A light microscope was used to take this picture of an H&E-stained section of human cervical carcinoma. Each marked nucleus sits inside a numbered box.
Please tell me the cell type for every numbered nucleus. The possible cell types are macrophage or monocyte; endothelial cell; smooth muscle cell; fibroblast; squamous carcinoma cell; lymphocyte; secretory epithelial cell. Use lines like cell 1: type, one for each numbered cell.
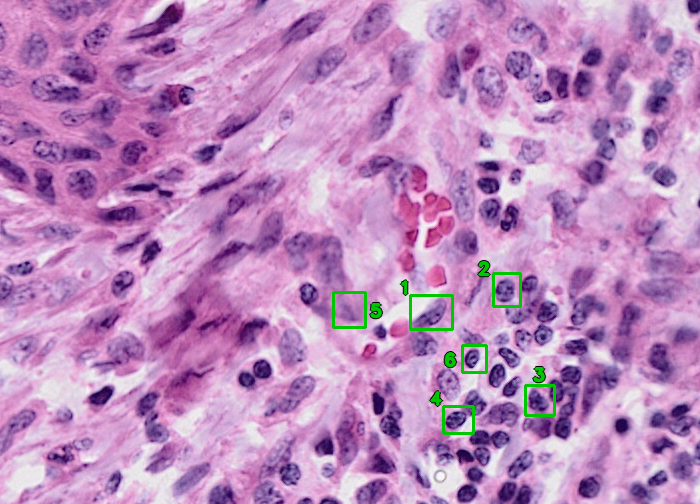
cell 1: endothelial cell
cell 2: lymphocyte
cell 3: lymphocyte
cell 4: lymphocyte
cell 5: endothelial cell
cell 6: lymphocyte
